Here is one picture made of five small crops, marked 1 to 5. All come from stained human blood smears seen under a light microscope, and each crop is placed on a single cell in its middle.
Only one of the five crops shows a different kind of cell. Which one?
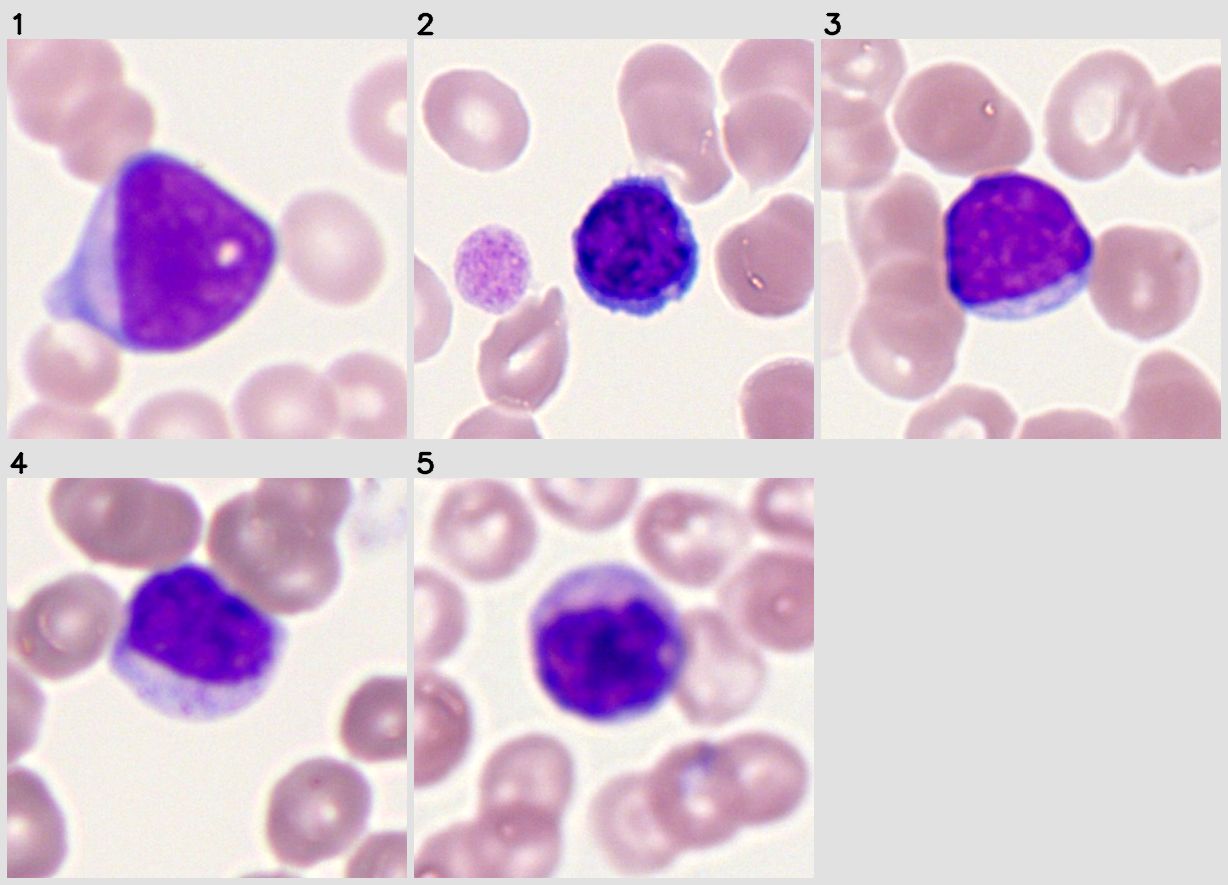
1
